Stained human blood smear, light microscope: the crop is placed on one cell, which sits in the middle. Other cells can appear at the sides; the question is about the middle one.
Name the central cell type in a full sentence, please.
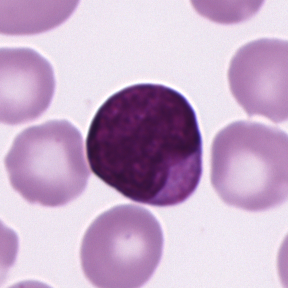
In the center of this field lies a myeloblast.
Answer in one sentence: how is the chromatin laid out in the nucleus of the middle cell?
Answer: the chromatin in this nucleus is coarsely clumped.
